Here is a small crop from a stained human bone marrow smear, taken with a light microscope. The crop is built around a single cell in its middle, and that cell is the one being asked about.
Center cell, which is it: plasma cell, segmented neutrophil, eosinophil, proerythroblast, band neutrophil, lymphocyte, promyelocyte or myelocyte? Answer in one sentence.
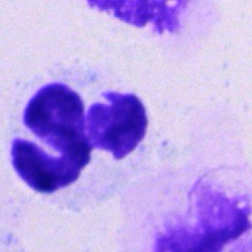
The cell occupying the middle of the crop is a segmented neutrophil.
